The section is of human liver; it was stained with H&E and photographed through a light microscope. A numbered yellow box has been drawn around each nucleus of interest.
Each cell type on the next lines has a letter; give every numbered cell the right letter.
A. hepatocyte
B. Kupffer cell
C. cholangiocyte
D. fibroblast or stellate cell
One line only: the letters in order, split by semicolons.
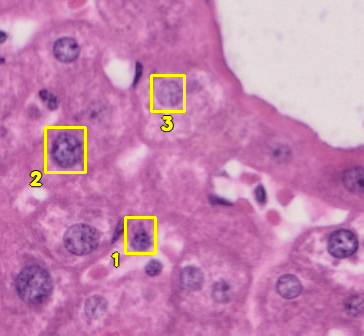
B; A; A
